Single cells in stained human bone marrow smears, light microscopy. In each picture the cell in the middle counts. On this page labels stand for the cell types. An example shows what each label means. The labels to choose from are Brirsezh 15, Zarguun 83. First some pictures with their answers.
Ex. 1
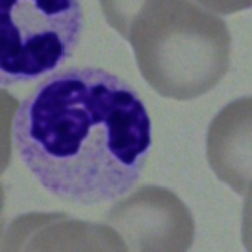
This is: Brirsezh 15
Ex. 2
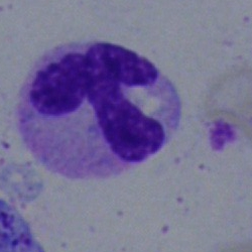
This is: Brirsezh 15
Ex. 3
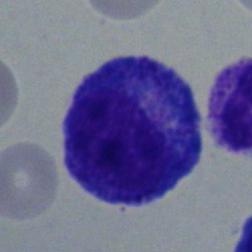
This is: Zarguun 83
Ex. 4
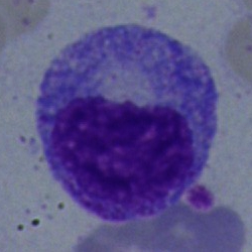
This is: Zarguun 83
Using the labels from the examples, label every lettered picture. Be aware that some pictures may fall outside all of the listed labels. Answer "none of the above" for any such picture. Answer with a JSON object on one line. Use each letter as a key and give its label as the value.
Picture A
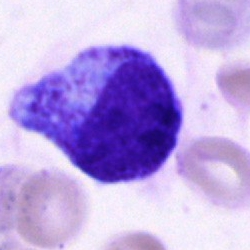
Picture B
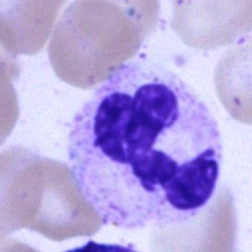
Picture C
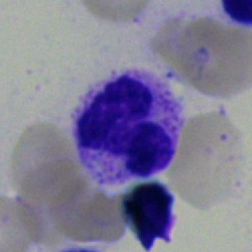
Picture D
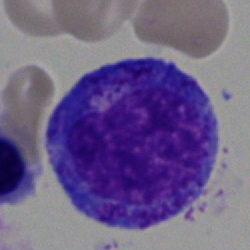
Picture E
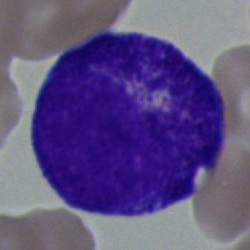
{"A": "Zarguun 83", "B": "Brirsezh 15", "C": "Brirsezh 15", "D": "Zarguun 83", "E": "Zarguun 83"}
